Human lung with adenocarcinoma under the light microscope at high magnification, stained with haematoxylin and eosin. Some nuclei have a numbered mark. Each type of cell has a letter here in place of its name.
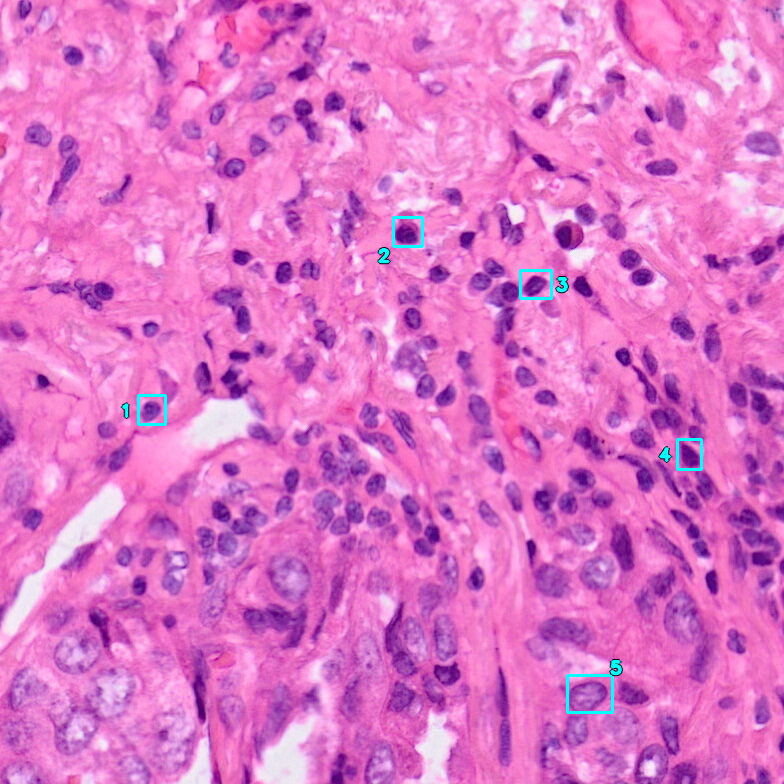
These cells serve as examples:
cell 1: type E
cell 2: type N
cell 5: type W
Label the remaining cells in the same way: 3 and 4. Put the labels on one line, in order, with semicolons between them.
type E; type N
